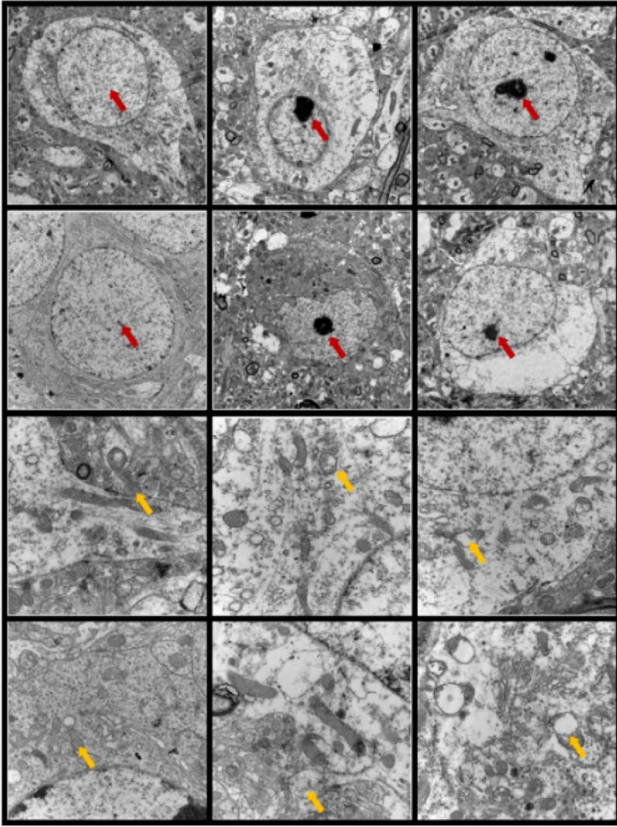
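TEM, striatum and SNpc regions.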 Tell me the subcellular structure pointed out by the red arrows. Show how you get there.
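Each red arrow lies inside a large round body with finely granular content. That body is bounded by an envelope and surrounded by cytoplasm full of organelles. So: nucleus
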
